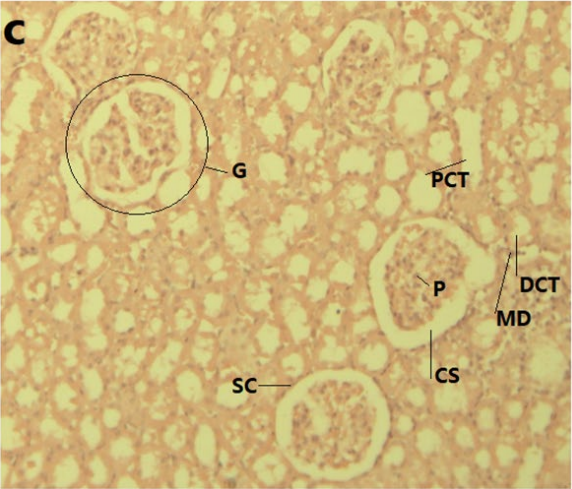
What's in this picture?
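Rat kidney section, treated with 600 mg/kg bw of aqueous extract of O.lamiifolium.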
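This is renal cortex with round glomeruli, each a nucleated capillary tuft surrounded by a clear capsular space and a thin capsule wall. The surrounding field is filled with tubules lined by pink epithelium, many cut across so that their pale, open lumens give the tissue a sieve-like look.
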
